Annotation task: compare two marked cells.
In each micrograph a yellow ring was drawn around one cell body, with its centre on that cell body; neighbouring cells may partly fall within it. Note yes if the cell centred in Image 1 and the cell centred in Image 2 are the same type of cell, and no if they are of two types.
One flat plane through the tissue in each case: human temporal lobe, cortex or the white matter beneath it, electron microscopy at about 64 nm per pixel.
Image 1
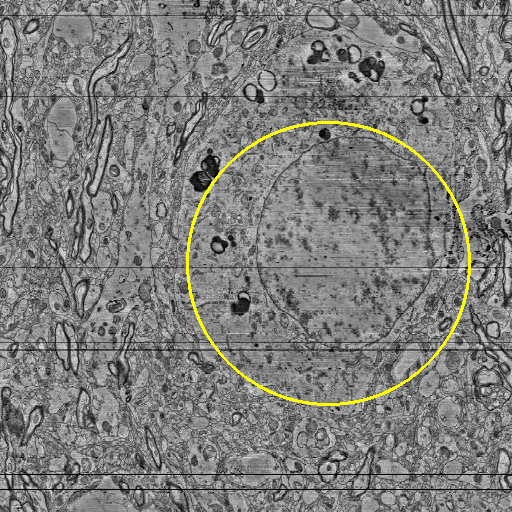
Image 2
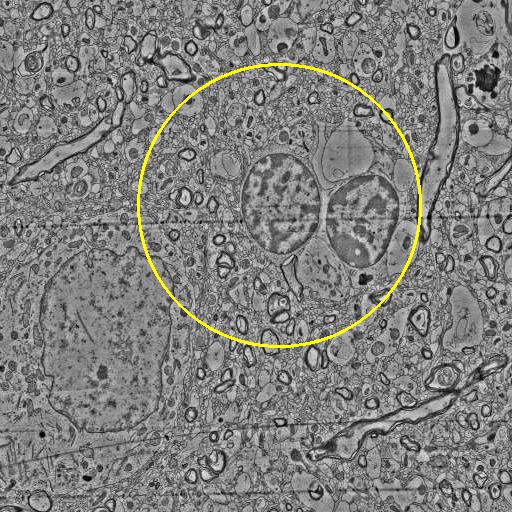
no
